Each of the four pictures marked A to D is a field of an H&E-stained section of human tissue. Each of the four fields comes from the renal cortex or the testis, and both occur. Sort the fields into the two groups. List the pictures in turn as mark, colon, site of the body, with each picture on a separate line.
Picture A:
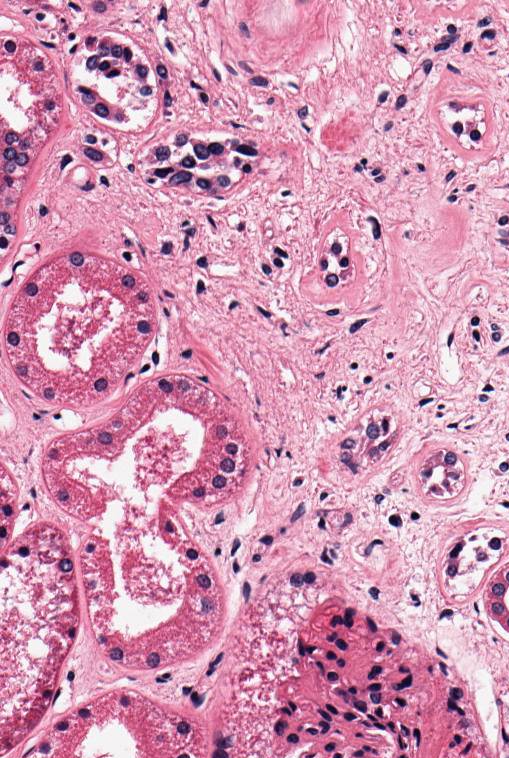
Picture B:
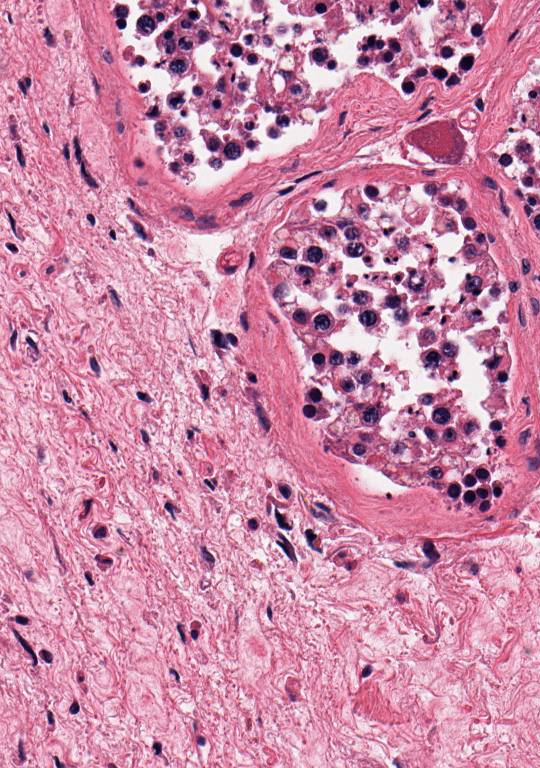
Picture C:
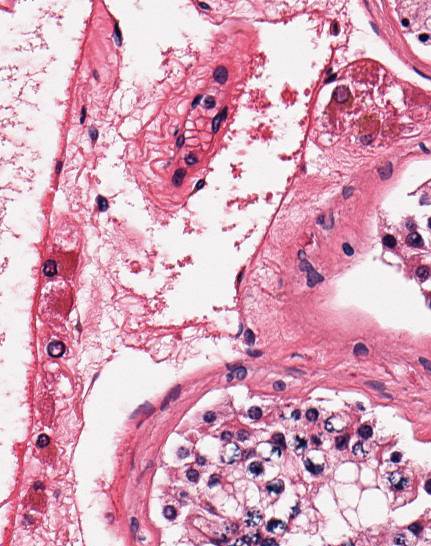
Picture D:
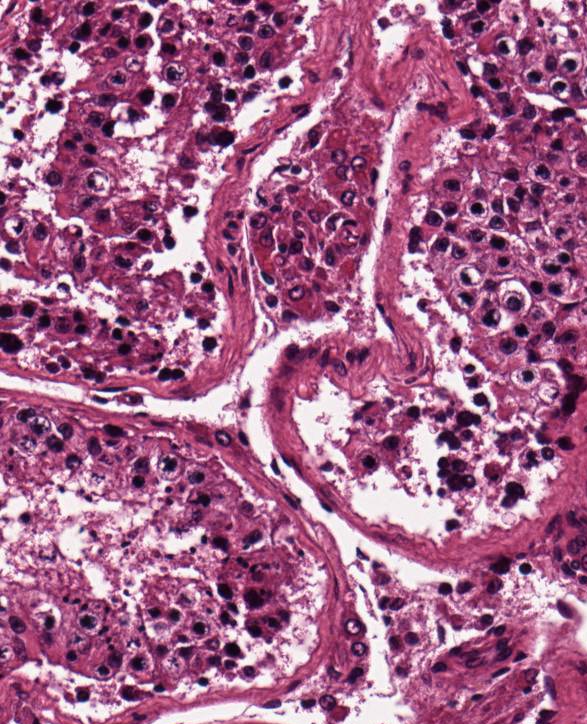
A: renal cortex
B: testis
C: testis
D: testis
